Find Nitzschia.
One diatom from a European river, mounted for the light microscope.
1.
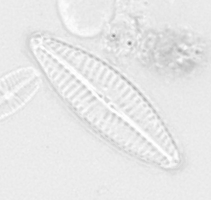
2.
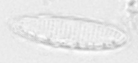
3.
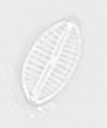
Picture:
2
